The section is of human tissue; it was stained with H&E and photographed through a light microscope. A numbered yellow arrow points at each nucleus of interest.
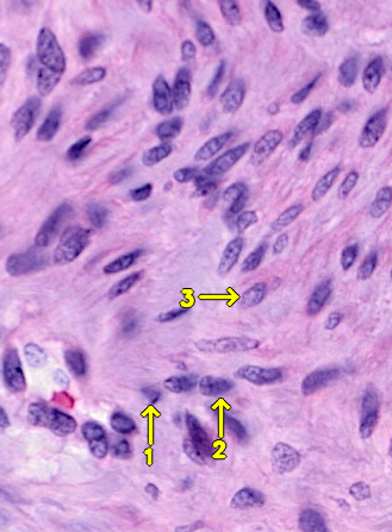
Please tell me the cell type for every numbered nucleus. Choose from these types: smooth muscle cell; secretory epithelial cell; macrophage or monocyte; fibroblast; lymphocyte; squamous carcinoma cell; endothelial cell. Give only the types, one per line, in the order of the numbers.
fibroblast
fibroblast
smooth muscle cell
